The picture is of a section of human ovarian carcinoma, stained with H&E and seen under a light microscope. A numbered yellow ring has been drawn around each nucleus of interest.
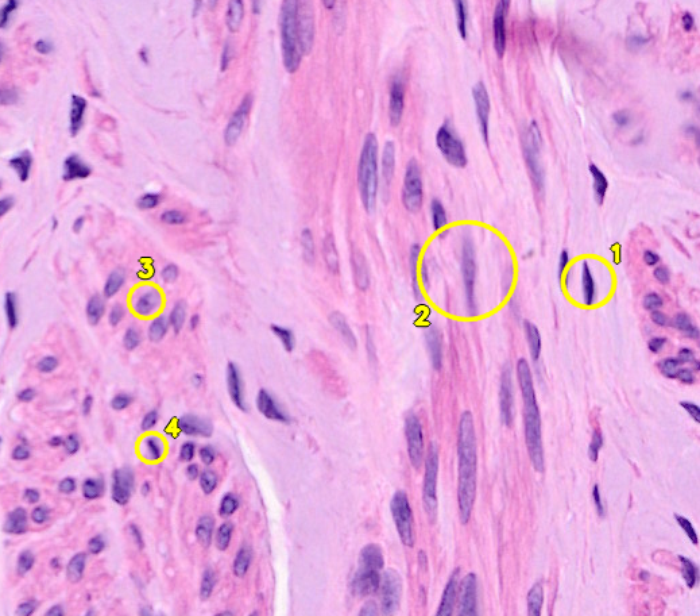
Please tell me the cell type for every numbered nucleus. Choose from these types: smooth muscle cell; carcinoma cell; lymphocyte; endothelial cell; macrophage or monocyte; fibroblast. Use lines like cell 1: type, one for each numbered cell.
cell 1: fibroblast
cell 2: smooth muscle cell
cell 3: smooth muscle cell
cell 4: smooth muscle cell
